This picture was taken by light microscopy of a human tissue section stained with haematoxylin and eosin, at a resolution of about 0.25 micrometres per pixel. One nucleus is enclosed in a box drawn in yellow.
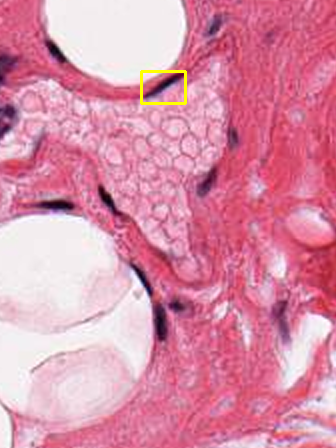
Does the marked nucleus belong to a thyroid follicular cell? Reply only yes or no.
no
